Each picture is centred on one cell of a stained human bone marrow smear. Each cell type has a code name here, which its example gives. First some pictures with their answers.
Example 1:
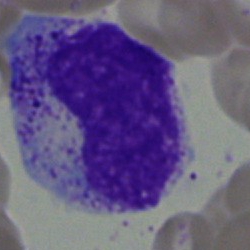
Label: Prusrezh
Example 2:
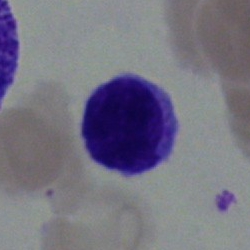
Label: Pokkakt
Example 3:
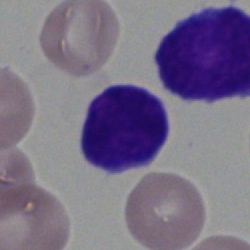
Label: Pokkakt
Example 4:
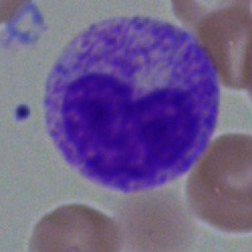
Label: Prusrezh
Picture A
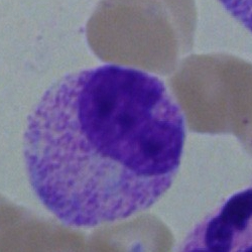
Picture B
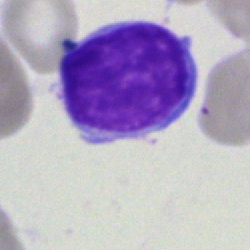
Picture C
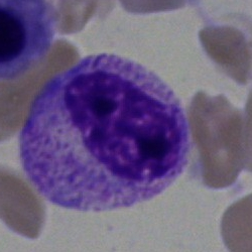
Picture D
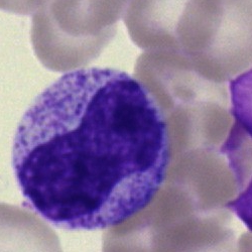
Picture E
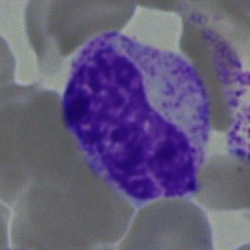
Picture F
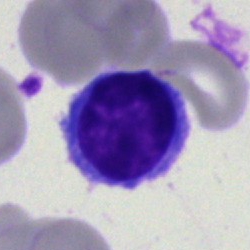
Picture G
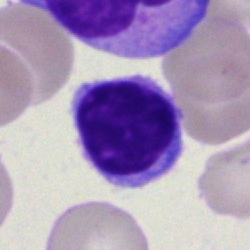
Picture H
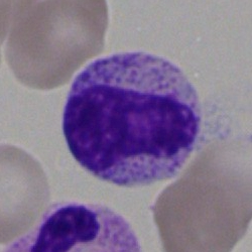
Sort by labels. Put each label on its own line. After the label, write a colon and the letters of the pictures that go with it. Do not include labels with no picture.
Prusrezh: A, C, D, E, H
Pokkakt: B, F, G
